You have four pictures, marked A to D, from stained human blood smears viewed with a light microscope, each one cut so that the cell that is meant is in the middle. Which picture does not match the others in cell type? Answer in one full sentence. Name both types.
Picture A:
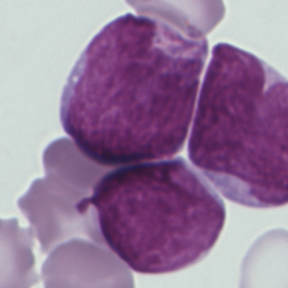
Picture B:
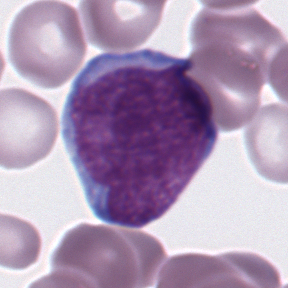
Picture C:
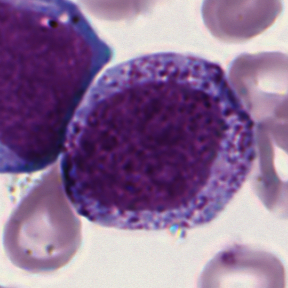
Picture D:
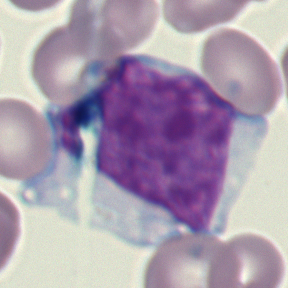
Unlike the rest, which show myeloblasts, picture C shows a promyelocyte.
